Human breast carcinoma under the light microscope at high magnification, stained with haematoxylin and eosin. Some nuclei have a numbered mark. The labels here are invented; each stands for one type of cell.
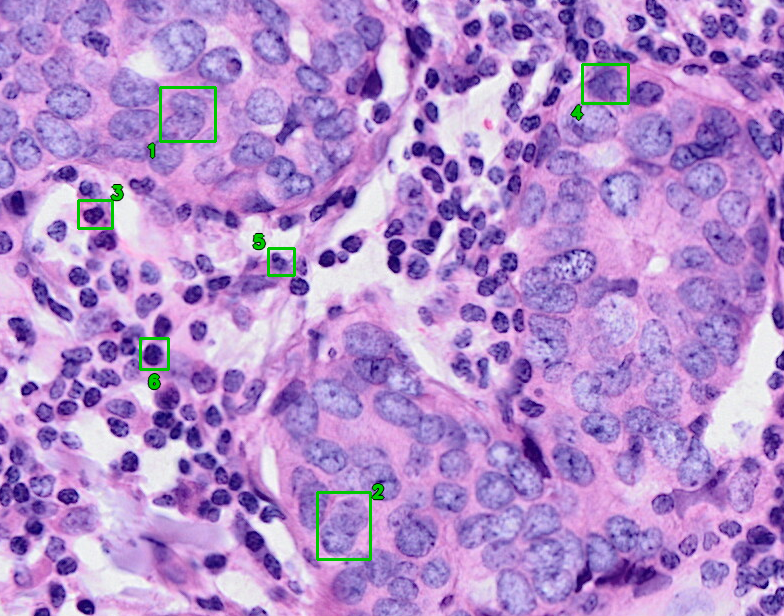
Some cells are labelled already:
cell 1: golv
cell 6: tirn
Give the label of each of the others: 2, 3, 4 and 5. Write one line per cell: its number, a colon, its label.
2: golv
3: tirn
4: golv
5: tirn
